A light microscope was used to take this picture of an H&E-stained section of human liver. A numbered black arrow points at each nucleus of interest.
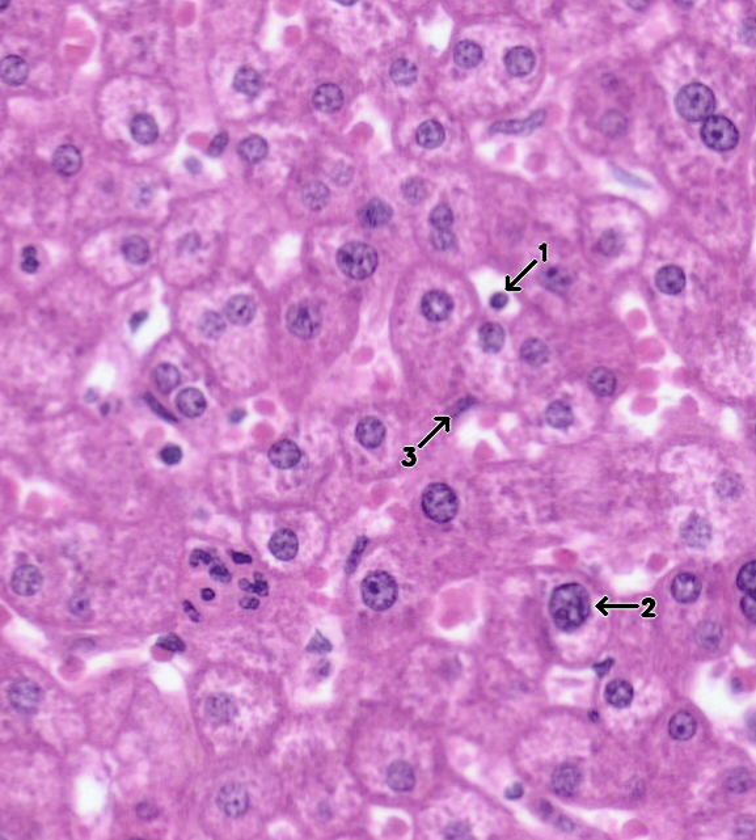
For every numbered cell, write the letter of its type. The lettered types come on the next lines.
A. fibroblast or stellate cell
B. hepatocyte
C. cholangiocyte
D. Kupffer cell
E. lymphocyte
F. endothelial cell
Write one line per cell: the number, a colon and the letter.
1: E
2: B
3: A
